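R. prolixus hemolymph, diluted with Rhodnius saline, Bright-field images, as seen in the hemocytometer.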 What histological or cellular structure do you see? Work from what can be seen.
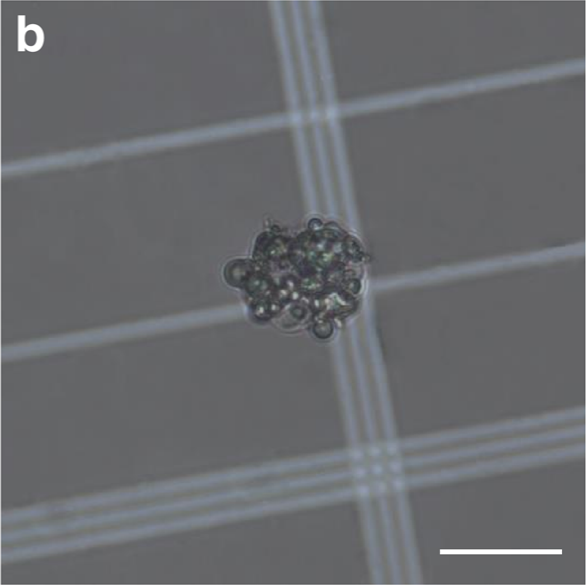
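A single compact cluster of many small round bodies lies at the centre of the field. The clustered round bodies press against one another with no clear space between them. The cluster sits on the ruled grid lines of a counting chamber.
Answer: aggregates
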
